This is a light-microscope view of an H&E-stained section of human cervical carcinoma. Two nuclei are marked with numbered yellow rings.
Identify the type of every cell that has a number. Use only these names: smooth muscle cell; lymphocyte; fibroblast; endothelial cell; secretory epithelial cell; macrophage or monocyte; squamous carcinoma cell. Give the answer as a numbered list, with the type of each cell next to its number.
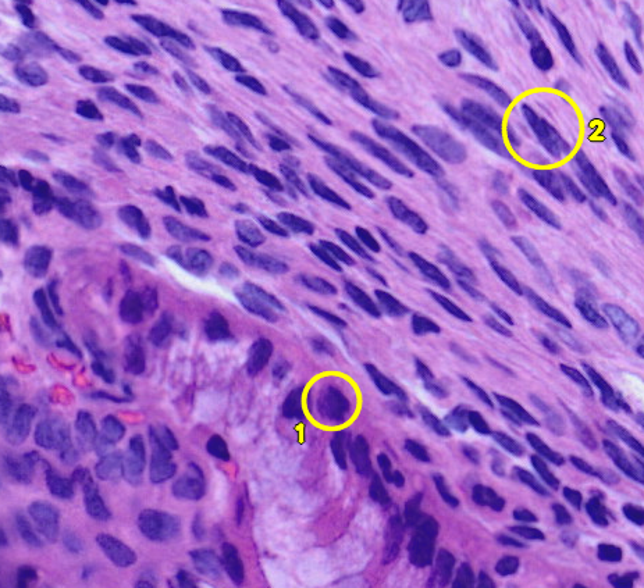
1. secretory epithelial cell
2. fibroblast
